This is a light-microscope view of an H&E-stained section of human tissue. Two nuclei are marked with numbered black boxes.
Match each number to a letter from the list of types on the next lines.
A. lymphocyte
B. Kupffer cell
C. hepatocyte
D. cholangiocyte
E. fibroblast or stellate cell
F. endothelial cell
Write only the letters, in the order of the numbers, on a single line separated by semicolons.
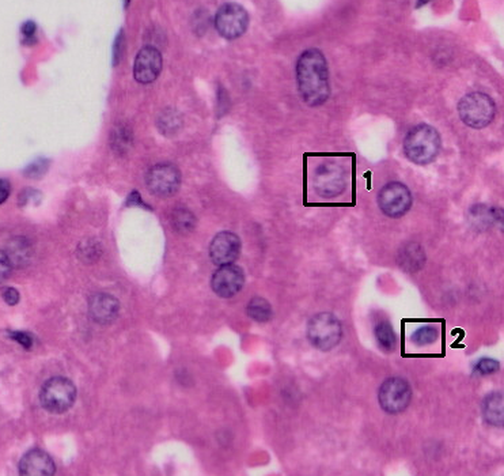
C; A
